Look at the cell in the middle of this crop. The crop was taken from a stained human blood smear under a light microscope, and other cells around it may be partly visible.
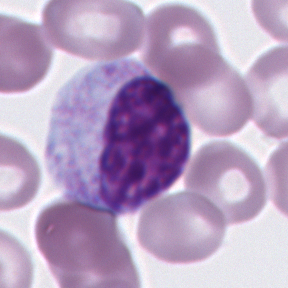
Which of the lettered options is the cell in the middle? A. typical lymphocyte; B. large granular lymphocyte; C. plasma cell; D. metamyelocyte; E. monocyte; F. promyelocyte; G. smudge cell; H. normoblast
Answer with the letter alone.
D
